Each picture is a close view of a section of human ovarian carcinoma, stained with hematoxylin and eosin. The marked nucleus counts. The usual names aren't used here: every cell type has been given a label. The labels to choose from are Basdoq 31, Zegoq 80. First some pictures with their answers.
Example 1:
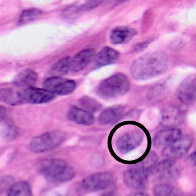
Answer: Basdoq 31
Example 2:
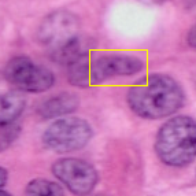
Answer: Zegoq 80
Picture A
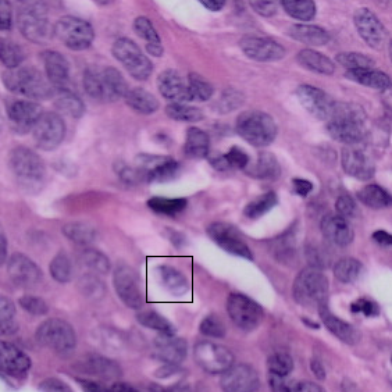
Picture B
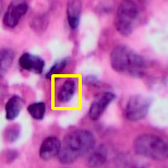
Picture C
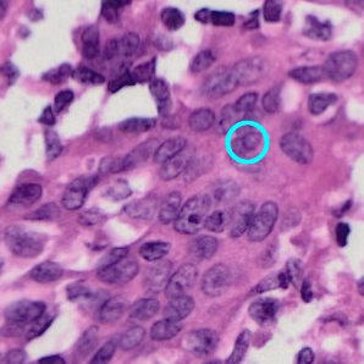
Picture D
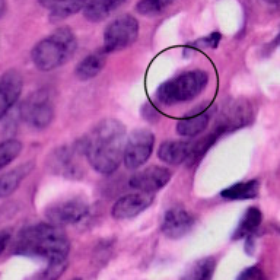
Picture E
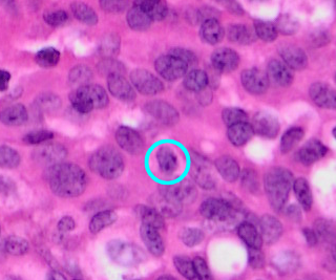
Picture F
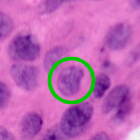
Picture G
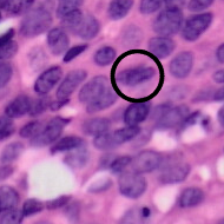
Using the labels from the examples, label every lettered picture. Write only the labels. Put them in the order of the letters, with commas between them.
Basdoq 31, Basdoq 31, Zegoq 80, Zegoq 80, Basdoq 31, Zegoq 80, Zegoq 80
